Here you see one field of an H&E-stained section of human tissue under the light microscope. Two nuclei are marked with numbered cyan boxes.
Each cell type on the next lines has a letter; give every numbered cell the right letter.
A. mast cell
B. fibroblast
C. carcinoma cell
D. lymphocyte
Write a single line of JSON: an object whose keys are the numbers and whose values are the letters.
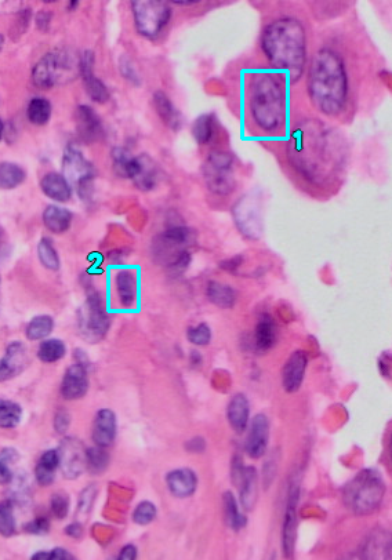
{"1": "C", "2": "D"}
